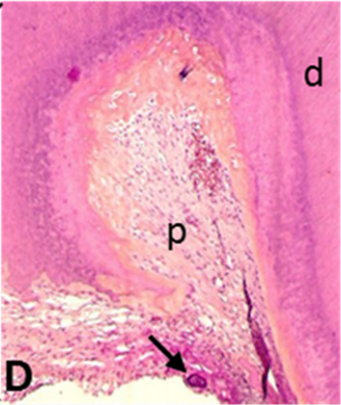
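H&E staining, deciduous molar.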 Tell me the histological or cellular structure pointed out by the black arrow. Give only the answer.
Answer: Intra-pulpal calcification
